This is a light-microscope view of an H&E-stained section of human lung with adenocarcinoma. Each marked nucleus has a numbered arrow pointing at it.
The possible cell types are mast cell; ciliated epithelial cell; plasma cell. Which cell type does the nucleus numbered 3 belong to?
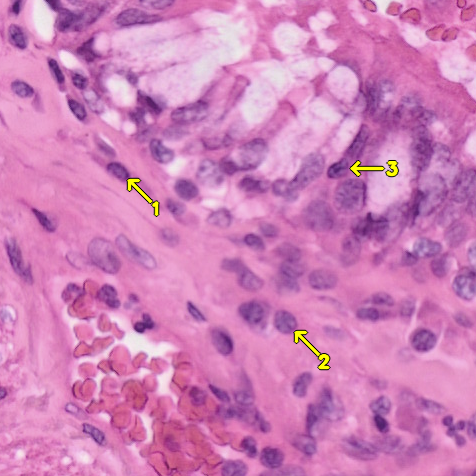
ciliated epithelial cell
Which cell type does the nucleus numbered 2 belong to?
mast cell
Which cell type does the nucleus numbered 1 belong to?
plasma cell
